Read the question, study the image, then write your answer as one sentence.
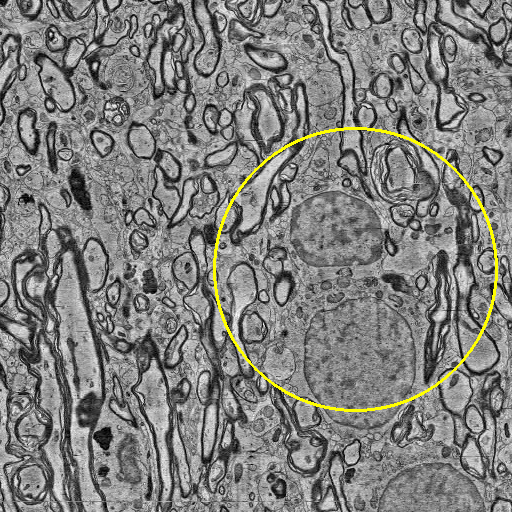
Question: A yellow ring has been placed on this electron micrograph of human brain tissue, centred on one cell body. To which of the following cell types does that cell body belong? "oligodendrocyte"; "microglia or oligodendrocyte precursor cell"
That cell body belongs to a microglial cell or oligodendrocyte precursor cell.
